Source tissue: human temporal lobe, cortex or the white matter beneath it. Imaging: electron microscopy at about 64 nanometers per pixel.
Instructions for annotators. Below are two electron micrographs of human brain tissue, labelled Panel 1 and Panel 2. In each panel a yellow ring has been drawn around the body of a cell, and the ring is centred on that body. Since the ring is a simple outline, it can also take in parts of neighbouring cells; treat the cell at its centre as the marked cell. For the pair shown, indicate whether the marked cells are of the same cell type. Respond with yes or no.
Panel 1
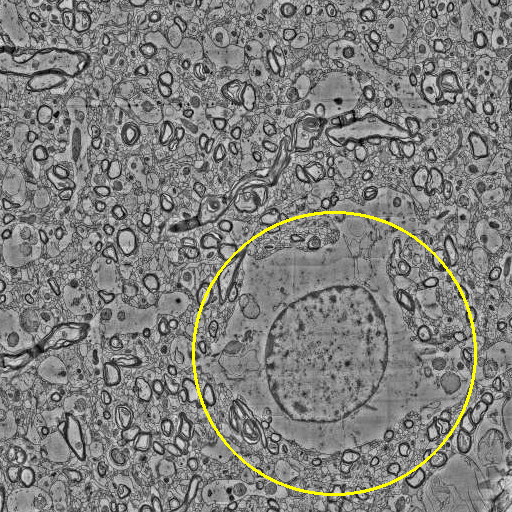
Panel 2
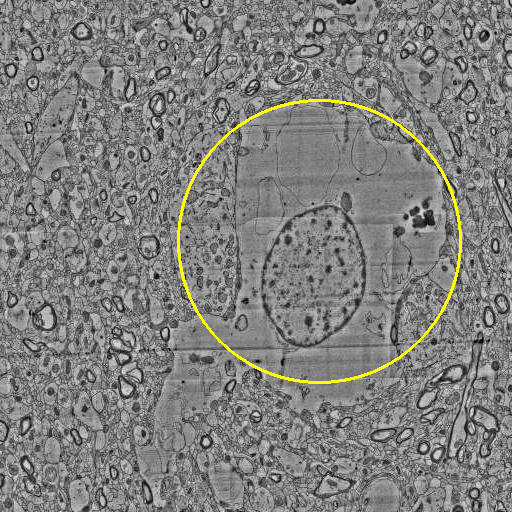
yes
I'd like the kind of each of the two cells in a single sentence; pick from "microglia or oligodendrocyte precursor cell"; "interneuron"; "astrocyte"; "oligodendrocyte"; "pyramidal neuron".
The ring centre holds an astrocyte in each of the two pictures.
